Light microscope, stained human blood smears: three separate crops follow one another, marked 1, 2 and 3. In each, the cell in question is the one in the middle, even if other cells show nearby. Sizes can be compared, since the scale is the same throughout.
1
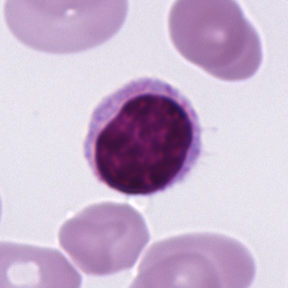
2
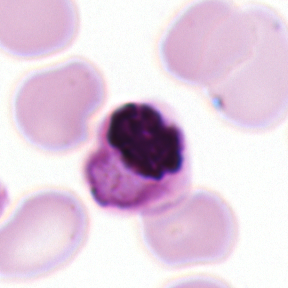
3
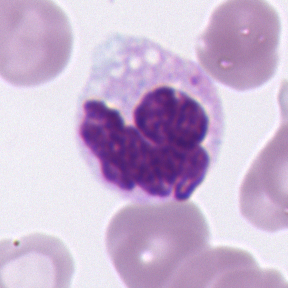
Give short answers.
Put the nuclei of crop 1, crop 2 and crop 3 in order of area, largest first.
3, 1, 2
